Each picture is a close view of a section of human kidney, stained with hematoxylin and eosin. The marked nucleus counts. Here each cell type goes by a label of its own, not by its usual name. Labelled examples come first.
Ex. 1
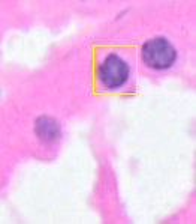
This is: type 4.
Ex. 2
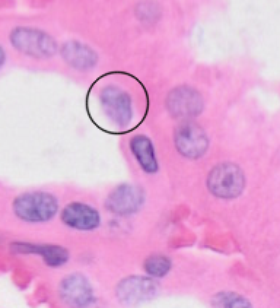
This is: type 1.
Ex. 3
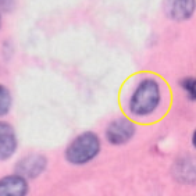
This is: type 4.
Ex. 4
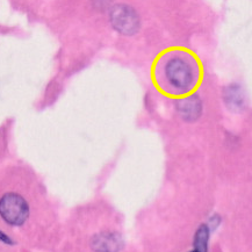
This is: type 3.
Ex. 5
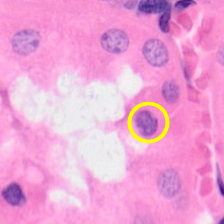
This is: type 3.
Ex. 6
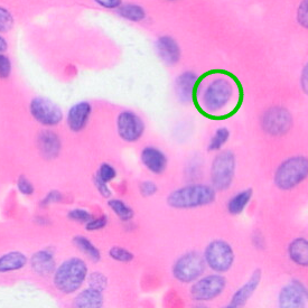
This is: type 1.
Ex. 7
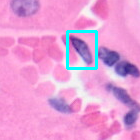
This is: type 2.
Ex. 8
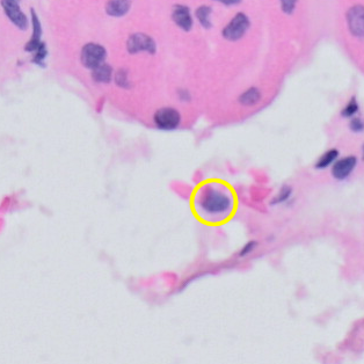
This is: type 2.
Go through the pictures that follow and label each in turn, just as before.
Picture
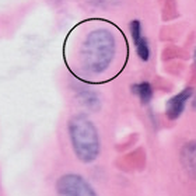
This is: type 1.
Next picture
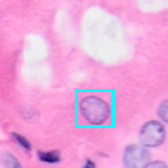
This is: type 3.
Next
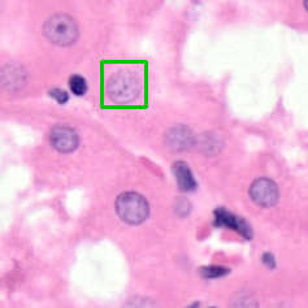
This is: type 3.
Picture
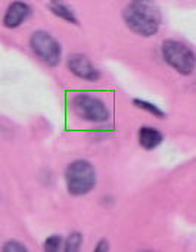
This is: type 1.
